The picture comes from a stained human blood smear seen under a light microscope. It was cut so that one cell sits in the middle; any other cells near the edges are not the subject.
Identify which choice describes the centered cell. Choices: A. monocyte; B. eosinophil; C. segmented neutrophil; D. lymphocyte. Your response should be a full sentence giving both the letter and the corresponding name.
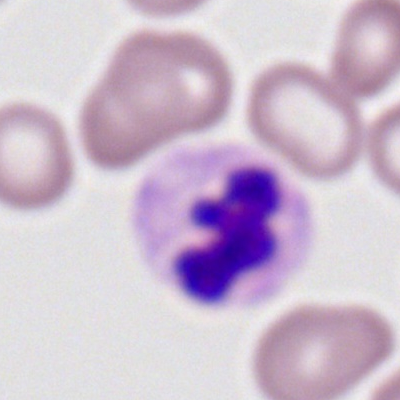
This one is option C, since the cell at the center is a segmented neutrophil.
